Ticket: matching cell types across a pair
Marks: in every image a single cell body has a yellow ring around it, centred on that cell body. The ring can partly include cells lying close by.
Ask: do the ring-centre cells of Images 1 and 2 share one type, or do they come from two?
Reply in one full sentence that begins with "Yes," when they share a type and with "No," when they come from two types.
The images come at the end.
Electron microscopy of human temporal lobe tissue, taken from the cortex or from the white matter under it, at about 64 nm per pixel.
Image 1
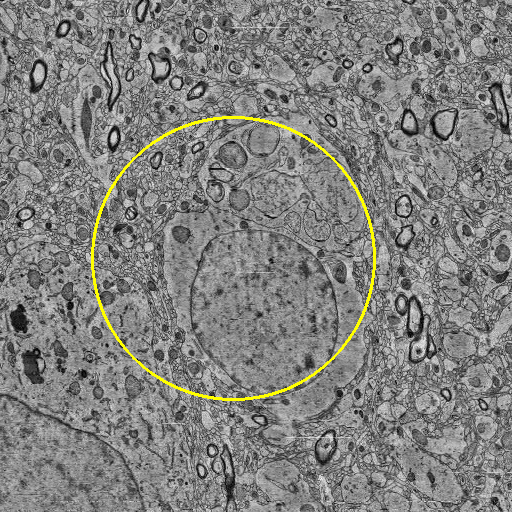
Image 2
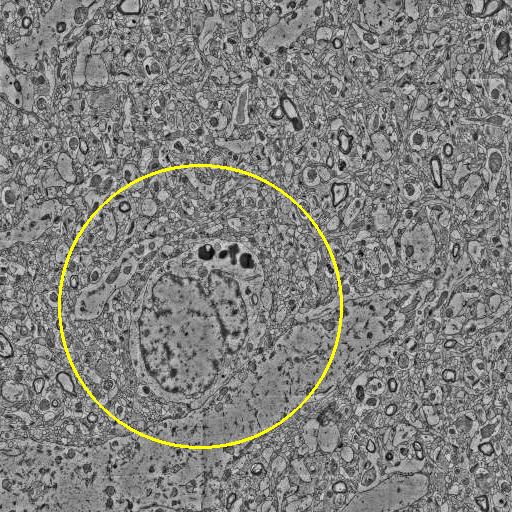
No, the cells in the centres of the rings in Image 1 and Image 2 come from two types.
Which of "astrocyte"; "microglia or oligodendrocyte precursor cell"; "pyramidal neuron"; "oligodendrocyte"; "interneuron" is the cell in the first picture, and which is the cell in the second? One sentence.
The two differ: the first cell is an astrocyte and the second is an interneuron.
